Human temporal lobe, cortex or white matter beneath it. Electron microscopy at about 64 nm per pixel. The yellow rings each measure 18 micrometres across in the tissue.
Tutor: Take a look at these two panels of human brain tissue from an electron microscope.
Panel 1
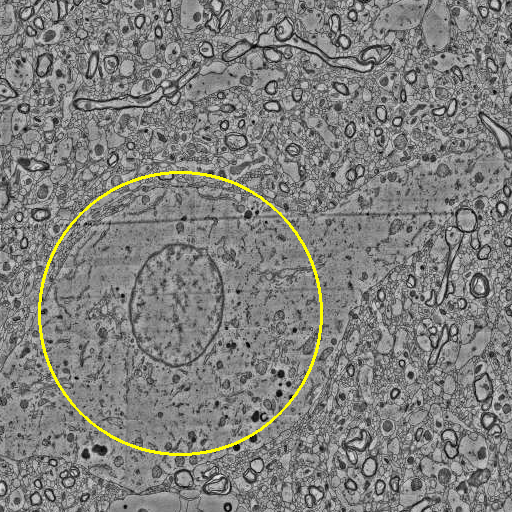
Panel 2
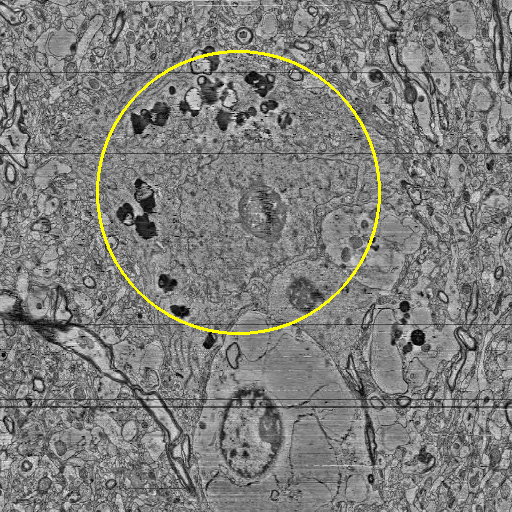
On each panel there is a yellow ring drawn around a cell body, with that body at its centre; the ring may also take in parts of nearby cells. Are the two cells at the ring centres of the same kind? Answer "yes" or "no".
yes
